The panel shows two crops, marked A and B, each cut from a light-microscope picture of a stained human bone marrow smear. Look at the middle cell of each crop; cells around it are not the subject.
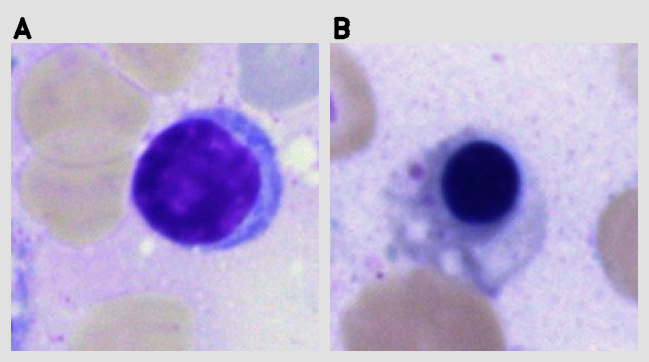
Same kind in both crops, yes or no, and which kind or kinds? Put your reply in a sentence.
No, that is not right; crop A shows a lymphocyte and crop B shows a normoblast.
